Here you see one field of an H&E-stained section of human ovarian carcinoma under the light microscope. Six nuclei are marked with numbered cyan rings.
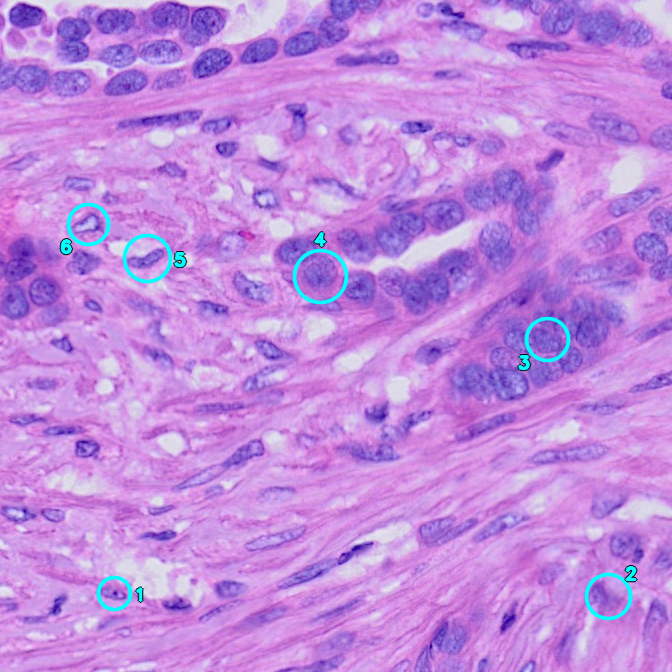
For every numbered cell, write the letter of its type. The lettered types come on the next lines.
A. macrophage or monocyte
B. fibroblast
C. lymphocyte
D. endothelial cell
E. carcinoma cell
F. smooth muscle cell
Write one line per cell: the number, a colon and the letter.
1: B
2: B
3: E
4: E
5: B
6: B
